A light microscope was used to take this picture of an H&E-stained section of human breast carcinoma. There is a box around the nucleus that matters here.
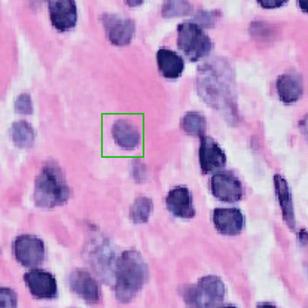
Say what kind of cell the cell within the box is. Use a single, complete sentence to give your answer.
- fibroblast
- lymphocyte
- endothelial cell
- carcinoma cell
For cell typing purposes, the cell within the box is a lymphocyte.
